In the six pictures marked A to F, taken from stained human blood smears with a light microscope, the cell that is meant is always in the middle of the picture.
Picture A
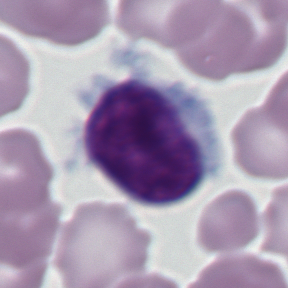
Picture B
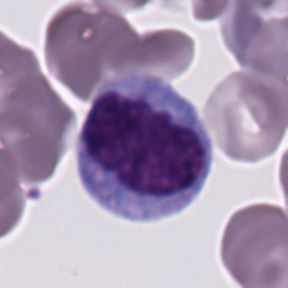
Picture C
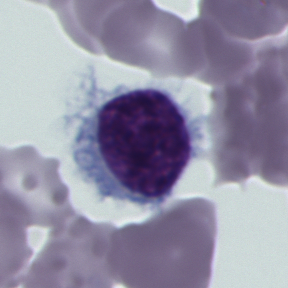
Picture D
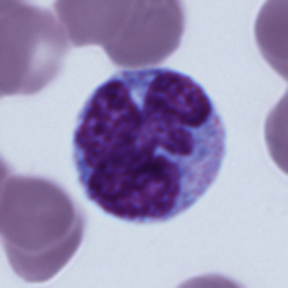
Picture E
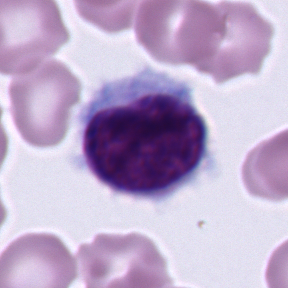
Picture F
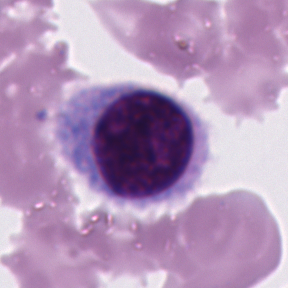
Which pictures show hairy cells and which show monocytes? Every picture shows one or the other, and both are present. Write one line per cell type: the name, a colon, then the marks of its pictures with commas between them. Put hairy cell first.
hairy cell: A, C, E, F
monocyte: B, D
